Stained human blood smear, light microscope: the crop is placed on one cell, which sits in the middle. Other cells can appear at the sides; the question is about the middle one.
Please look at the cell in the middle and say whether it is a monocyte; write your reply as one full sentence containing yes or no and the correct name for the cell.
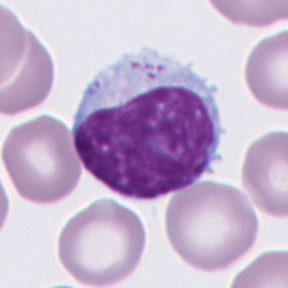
No, in this crop the central cell is a large granular lymphocyte instead of a monocyte.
